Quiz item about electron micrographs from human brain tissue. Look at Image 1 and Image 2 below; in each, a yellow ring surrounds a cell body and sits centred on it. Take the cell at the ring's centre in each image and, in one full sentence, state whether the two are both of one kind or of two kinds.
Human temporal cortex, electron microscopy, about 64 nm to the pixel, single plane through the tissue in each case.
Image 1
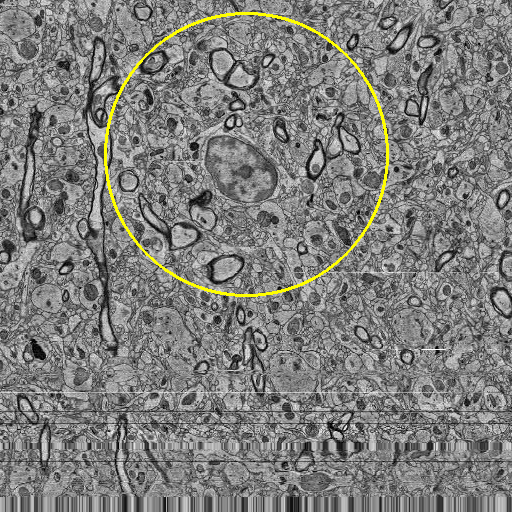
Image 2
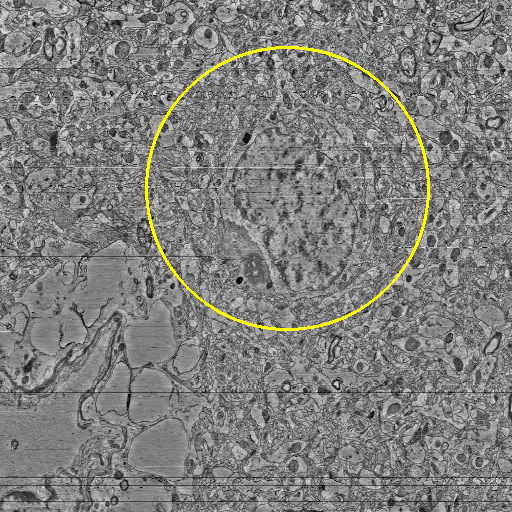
In Image 1 and Image 2, the cells at the ring centres are of two kinds.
